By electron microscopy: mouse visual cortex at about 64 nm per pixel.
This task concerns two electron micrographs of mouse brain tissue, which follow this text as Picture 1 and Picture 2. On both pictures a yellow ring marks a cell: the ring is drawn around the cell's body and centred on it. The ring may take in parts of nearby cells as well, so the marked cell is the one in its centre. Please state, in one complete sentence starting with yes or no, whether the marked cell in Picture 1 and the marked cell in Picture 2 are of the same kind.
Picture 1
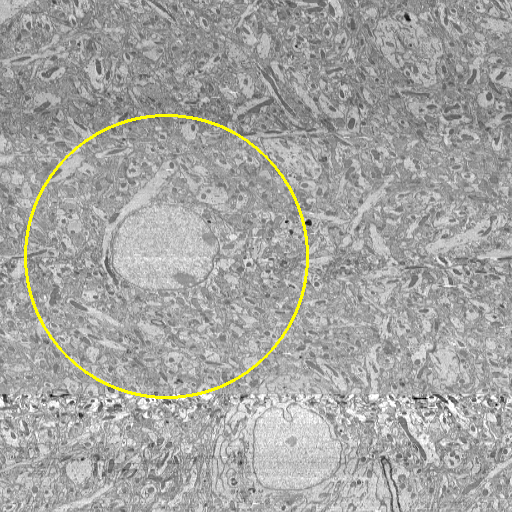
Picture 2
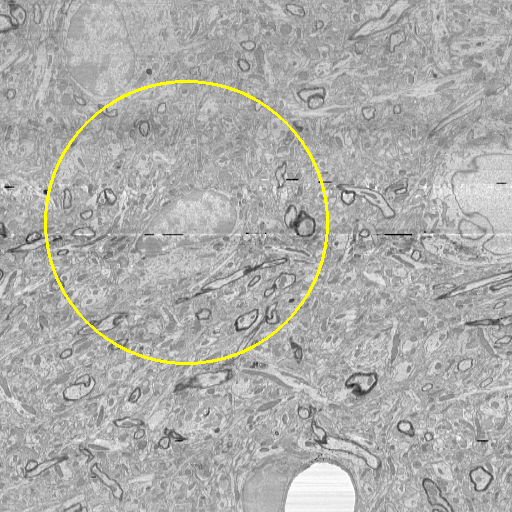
No, the marked cells in the two pictures are of two kinds.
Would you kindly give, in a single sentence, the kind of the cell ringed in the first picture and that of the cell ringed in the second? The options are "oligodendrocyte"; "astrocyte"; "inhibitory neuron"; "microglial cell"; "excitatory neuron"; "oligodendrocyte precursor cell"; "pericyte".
The second cell is an oligodendrocyte, and the first cell is an astrocyte.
